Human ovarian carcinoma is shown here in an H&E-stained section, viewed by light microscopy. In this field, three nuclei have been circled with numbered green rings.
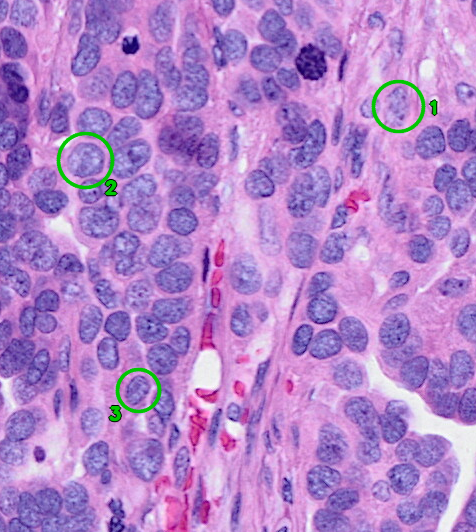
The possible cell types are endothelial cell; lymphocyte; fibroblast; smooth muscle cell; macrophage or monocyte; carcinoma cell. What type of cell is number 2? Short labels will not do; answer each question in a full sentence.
The expected answer is that cell 2 is a carcinoma cell.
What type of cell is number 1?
The label 1 in this section denotes a fibroblast.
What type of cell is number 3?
The cell pointed out by number 3 is a carcinoma cell.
